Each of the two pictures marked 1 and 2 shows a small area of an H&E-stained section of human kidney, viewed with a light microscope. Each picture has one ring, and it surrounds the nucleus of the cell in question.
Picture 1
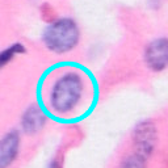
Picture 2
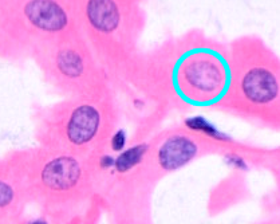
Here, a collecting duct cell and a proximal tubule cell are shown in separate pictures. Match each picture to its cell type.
1: collecting duct cell
2: proximal tubule cell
